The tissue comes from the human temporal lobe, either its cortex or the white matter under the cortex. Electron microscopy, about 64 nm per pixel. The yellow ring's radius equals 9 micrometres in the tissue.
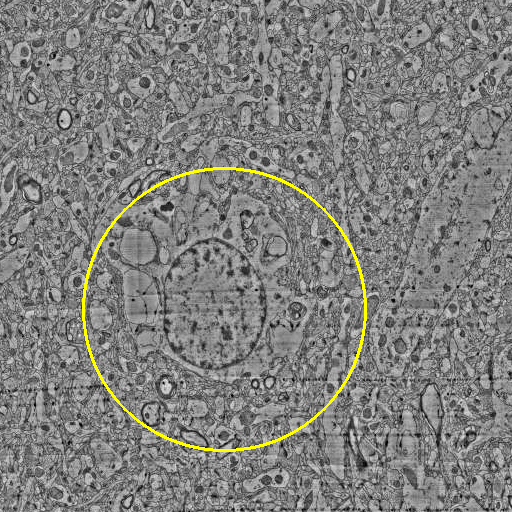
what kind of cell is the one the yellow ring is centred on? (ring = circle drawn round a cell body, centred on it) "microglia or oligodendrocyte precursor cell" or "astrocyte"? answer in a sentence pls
The ring is drawn around an astrocyte.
